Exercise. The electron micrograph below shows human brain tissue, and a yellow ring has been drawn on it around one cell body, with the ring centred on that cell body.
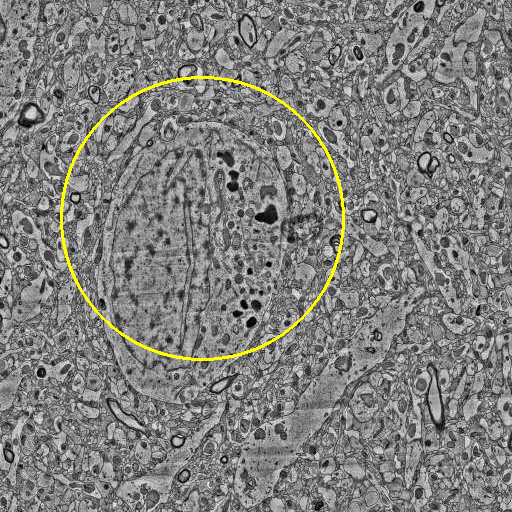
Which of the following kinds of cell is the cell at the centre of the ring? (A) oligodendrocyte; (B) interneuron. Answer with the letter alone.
B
